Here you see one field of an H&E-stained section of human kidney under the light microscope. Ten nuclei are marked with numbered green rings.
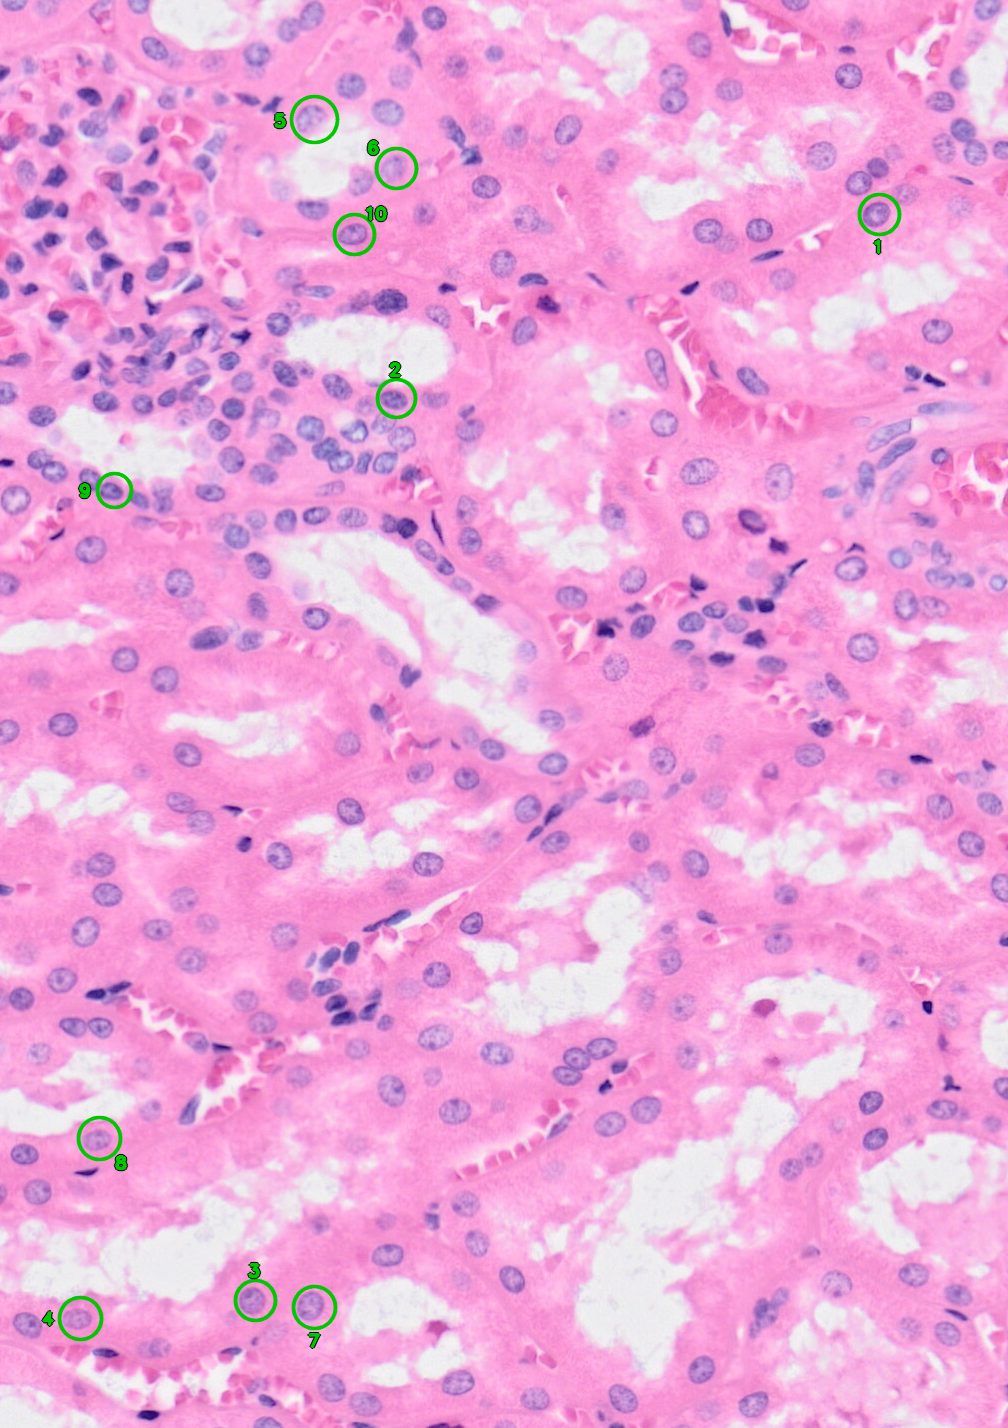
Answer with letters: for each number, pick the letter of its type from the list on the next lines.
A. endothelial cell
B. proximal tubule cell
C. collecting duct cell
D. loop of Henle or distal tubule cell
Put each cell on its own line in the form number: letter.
1: B
2: D
3: B
4: B
5: D
6: D
7: B
8: B
9: D
10: B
